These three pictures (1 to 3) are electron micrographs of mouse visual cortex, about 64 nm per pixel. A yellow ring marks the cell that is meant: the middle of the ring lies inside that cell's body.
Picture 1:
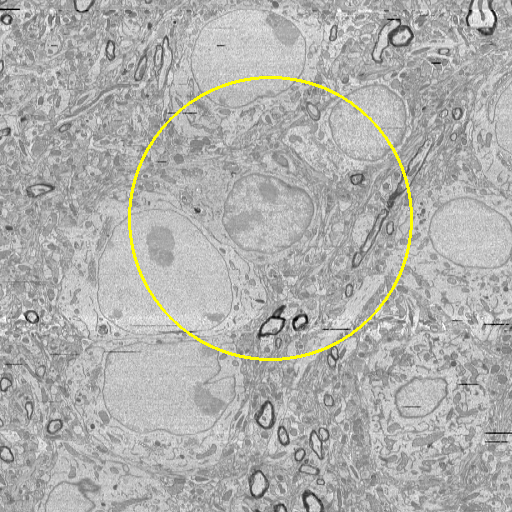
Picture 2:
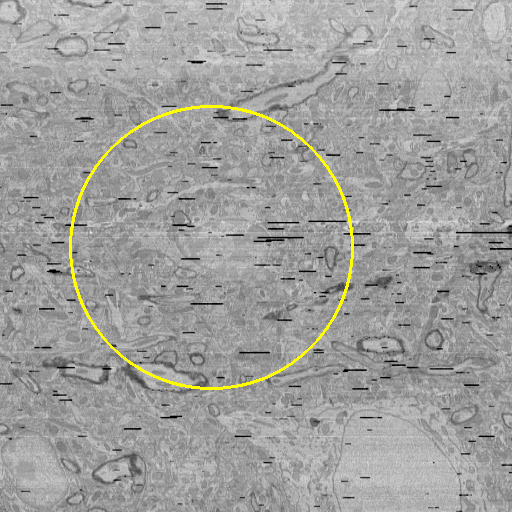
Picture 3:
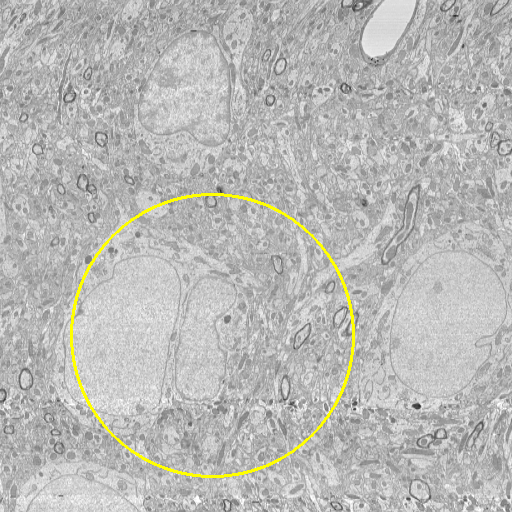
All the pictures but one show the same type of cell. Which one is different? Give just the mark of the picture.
3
